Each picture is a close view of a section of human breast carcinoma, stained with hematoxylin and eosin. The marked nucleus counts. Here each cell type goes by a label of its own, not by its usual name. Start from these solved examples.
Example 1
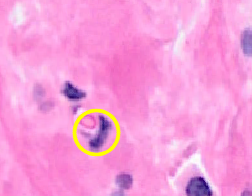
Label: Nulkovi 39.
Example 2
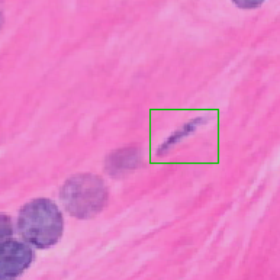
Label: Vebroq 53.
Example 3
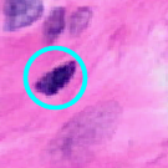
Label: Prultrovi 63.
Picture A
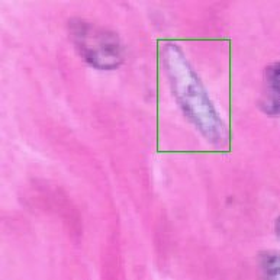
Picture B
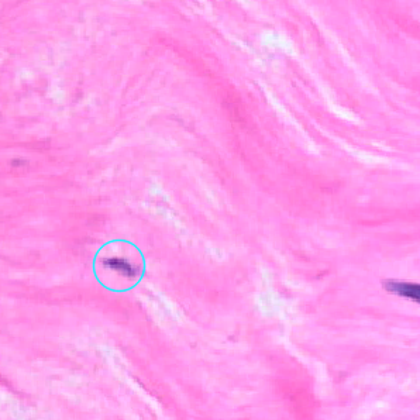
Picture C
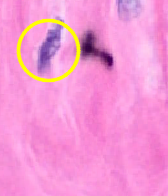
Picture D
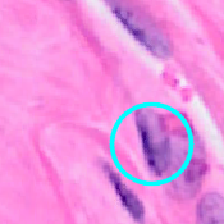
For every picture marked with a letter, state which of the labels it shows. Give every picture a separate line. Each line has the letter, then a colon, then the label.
A: Vebroq 53.
B: Vebroq 53.
C: Vebroq 53.
D: Nulkovi 39.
